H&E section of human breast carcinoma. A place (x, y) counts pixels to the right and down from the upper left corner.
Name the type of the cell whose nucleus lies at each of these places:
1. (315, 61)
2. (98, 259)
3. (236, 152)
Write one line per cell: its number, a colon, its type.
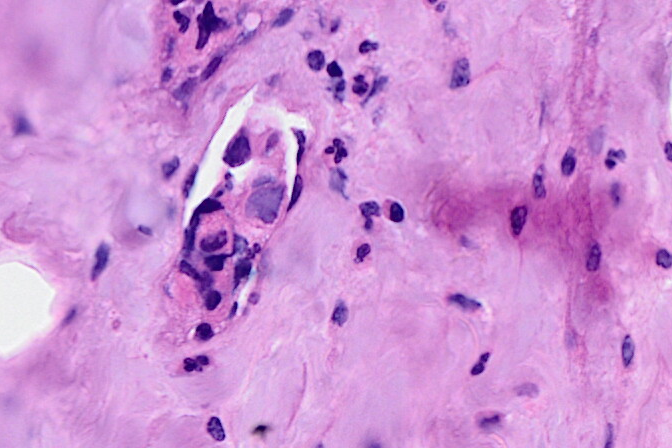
1: lymphocyte
2: fibroblast
3: carcinoma cell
